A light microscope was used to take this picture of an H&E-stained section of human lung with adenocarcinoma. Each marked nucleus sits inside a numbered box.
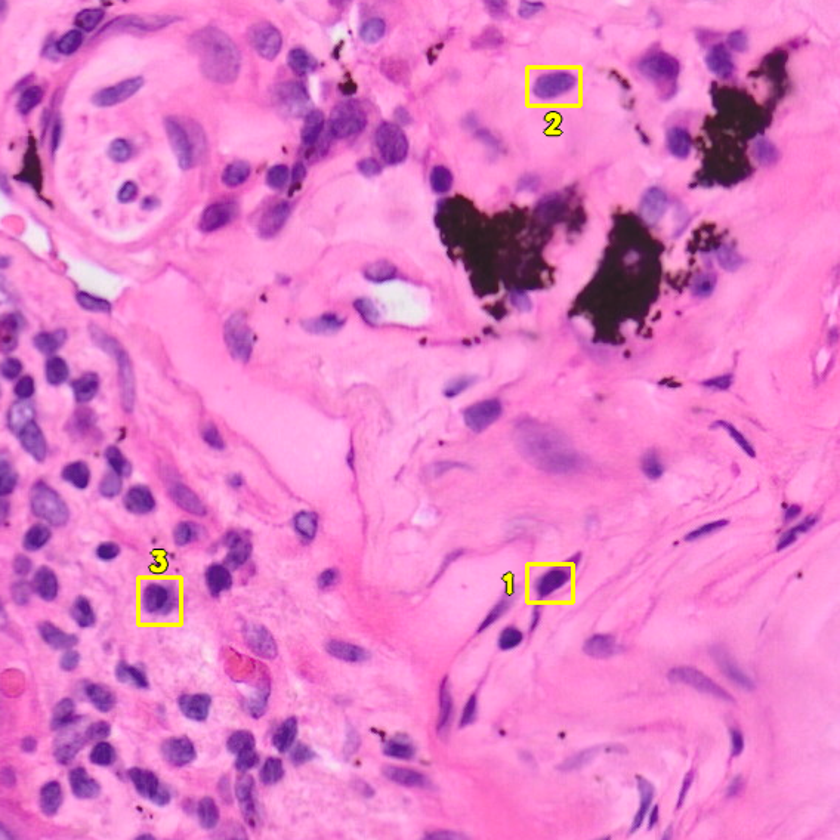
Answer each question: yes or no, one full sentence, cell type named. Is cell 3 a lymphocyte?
Yes, and to answer plainly, cell 3 is a lymphocyte.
